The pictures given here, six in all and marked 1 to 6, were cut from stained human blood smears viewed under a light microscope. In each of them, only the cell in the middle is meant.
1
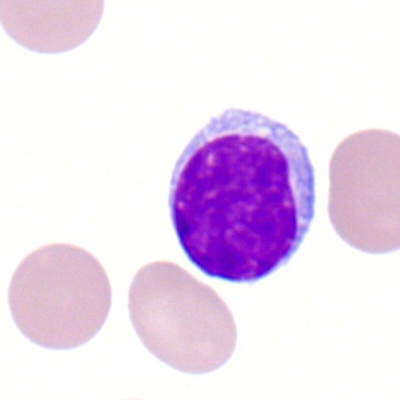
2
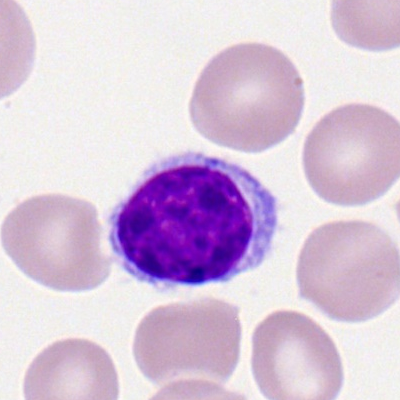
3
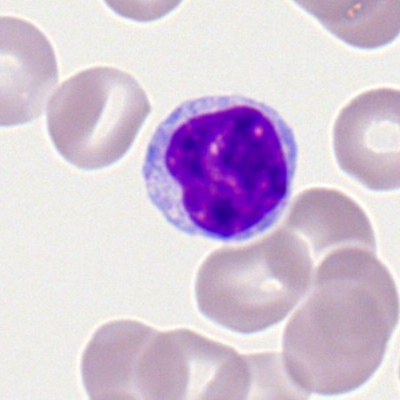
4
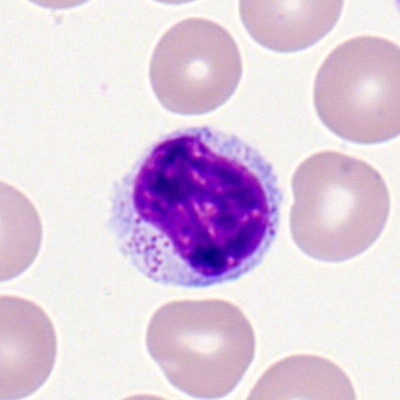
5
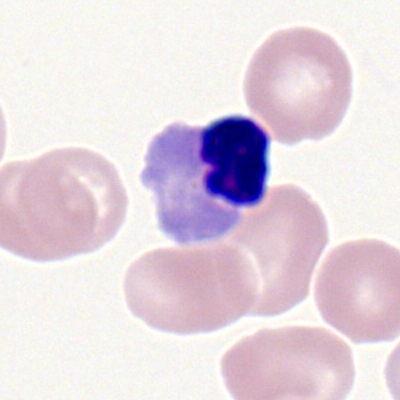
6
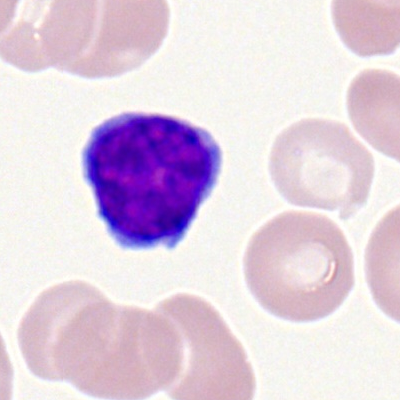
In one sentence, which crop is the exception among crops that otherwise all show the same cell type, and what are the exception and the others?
The central cell of crop 5 is an erythroblast, while the other crops show lymphocytes.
